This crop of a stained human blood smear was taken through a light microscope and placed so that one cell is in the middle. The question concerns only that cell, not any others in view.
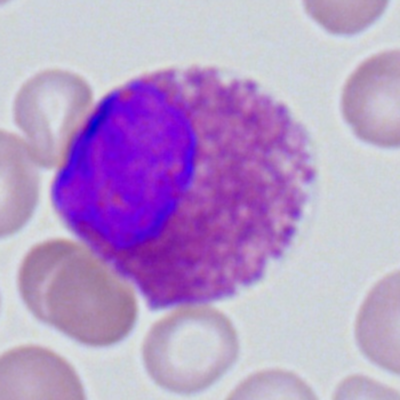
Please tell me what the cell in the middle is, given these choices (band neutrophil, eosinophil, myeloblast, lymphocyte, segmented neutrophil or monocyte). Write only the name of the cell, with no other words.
eosinophil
